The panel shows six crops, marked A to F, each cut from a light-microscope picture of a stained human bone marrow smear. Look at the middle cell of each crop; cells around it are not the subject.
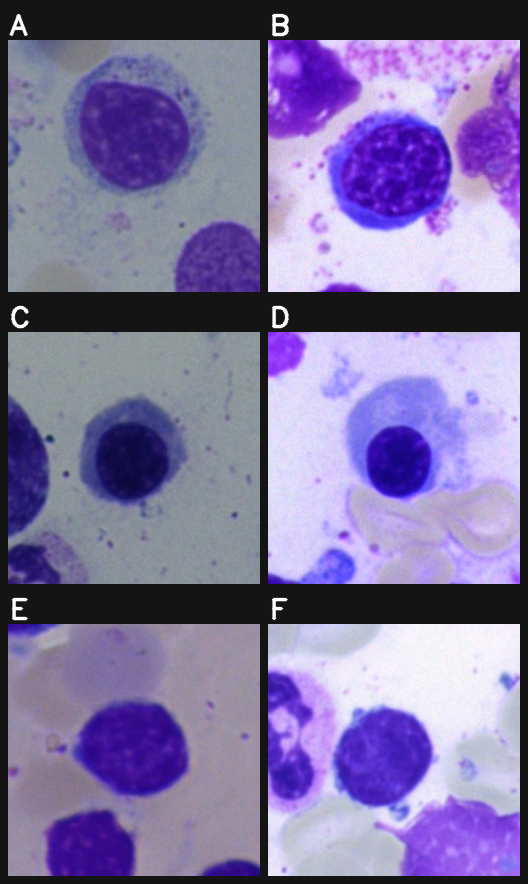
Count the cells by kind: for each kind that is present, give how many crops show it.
lymphocyte: 3
erythroblast: 3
